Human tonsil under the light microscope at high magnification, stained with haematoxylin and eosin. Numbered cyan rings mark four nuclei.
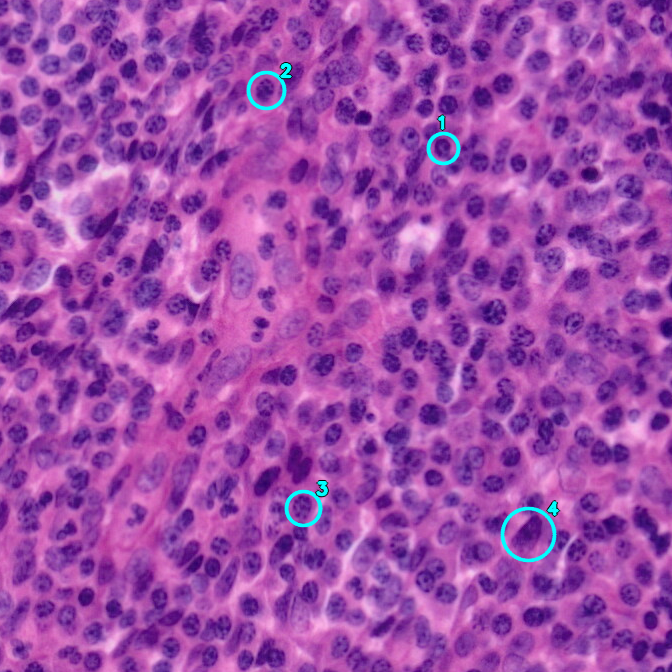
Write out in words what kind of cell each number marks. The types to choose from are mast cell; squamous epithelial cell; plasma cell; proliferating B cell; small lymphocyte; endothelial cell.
Cells 1, 2 and 3 are plasma cells. Cell 4 is a squamous epithelial cell.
